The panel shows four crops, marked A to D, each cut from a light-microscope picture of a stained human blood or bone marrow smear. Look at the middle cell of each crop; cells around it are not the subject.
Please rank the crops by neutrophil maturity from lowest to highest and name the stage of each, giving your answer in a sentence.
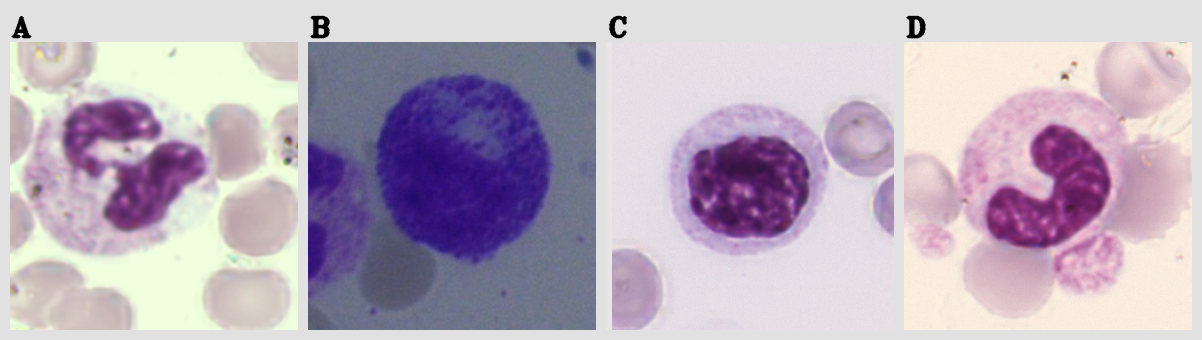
Least mature first and most mature last, the order is crop B (a myelocyte), crop C (a metamyelocyte), crop D (a band neutrophil) and crop A (a segmented neutrophil).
